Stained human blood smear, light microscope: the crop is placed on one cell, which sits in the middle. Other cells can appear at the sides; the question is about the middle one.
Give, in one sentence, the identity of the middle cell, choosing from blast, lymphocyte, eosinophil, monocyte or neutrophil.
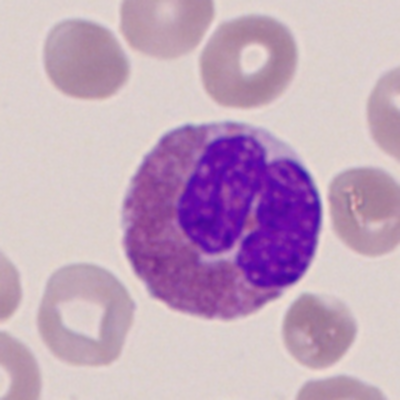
Framed in the middle of the crop is an eosinophil.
